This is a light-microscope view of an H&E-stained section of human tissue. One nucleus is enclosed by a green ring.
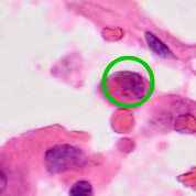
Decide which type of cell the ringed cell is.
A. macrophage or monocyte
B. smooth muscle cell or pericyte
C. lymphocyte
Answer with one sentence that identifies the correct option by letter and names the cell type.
The correct option is A, and the ringed cell is a macrophage or monocyte.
